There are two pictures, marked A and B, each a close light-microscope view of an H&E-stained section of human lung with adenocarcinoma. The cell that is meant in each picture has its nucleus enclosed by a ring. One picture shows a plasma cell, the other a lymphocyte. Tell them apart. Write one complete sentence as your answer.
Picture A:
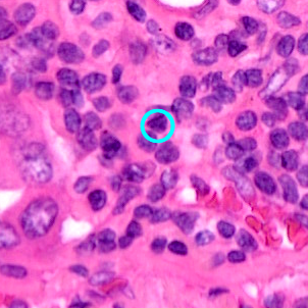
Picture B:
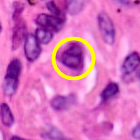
It is picture A that shows a lymphocyte, and picture B that shows a plasma cell.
